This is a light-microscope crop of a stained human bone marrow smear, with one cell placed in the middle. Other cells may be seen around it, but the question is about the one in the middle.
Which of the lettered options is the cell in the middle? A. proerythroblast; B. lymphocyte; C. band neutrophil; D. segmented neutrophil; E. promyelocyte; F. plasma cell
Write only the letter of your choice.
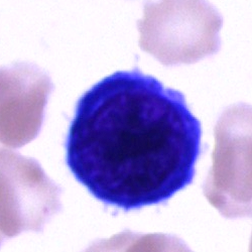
A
